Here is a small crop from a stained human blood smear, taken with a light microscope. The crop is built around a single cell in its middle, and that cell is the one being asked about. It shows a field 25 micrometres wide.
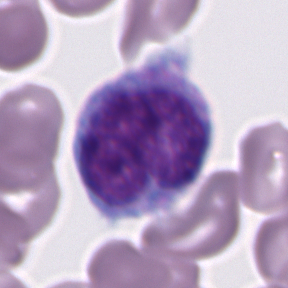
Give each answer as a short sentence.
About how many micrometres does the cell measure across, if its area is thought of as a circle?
The cell is about 13 micrometres across.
